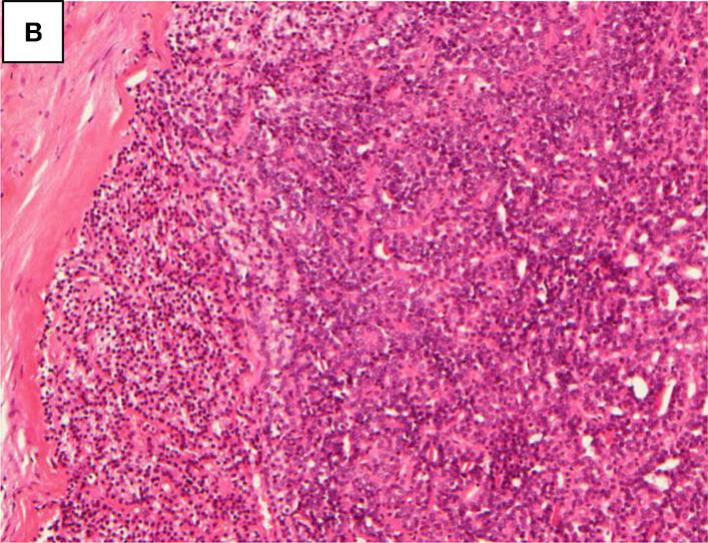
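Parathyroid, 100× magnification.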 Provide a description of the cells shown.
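The cells have small, round, dark purple nuclei and scant pink to pale cytoplasm. They lie in broad solid sheets, and in places they are grouped around small clear spaces in a gland-like pattern. A band of pink fibrous connective tissue runs along the left edge and borders the cell mass. Small thin-walled vessels and narrow slit-like spaces are scattered among the cells.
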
